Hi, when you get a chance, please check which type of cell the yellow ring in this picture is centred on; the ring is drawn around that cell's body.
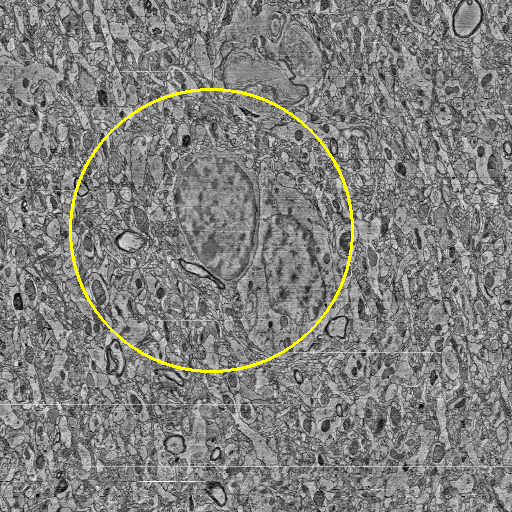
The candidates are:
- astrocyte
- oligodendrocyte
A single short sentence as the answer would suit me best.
The ring is drawn around the body of an oligodendrocyte.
